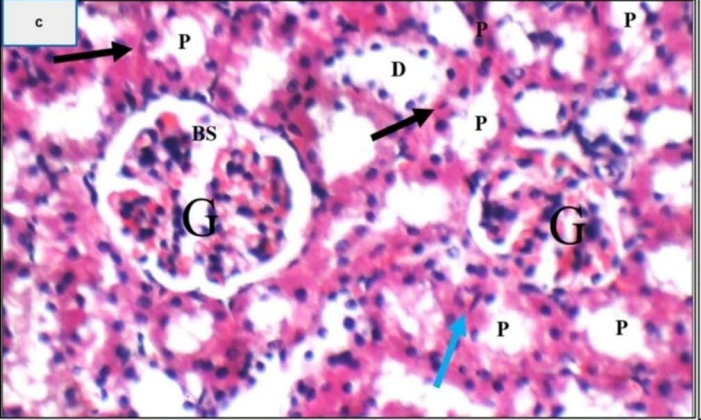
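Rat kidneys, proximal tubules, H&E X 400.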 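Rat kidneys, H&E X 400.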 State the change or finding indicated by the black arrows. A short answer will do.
Apoptotic epithelial lining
